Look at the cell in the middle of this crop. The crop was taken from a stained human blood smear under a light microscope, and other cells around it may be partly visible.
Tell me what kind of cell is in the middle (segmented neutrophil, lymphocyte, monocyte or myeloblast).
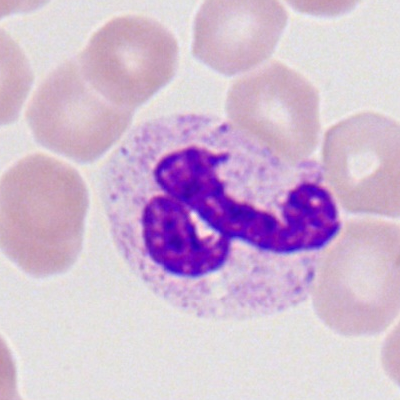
segmented neutrophil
